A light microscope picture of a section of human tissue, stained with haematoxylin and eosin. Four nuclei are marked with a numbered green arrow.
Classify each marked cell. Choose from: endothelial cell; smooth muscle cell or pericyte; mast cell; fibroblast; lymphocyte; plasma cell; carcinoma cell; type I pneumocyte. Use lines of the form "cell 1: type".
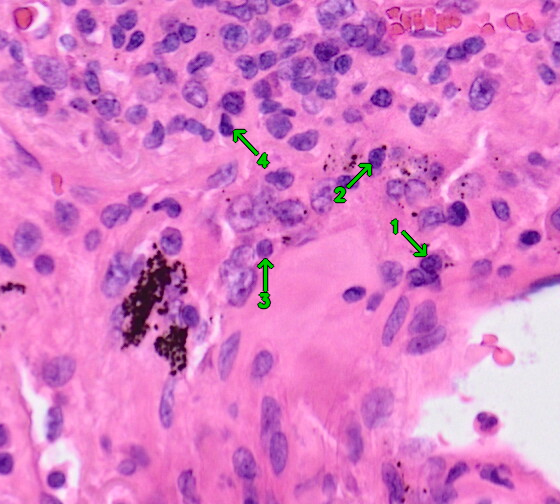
cell 1: plasma cell
cell 2: lymphocyte
cell 3: lymphocyte
cell 4: lymphocyte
